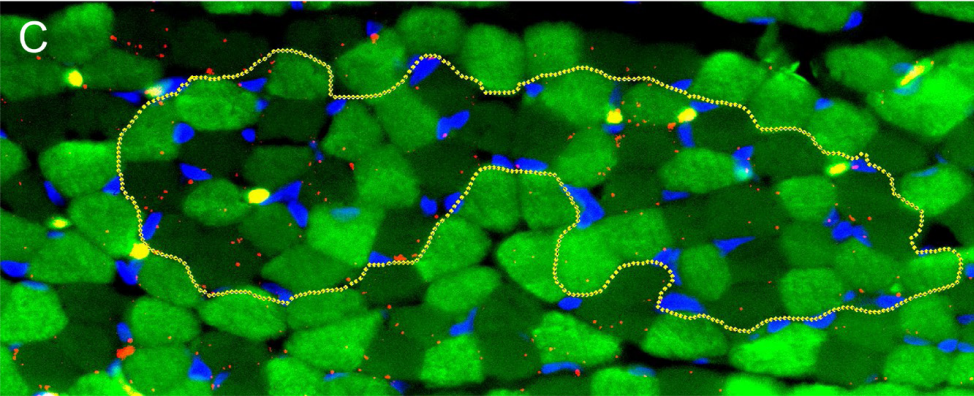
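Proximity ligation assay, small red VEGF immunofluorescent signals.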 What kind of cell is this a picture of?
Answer: skeletal muscle myofibers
